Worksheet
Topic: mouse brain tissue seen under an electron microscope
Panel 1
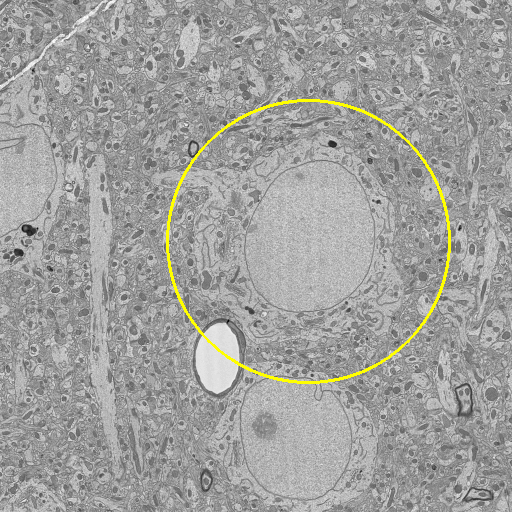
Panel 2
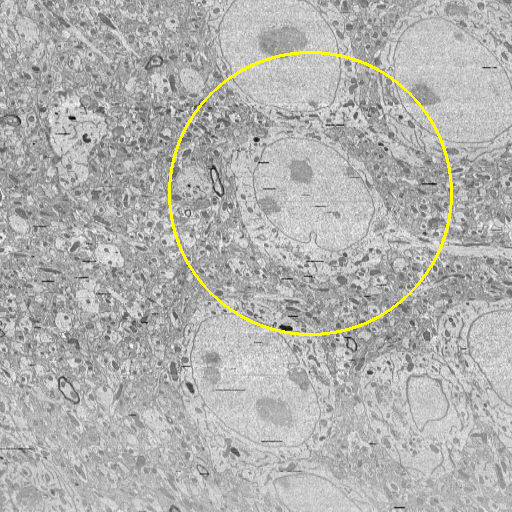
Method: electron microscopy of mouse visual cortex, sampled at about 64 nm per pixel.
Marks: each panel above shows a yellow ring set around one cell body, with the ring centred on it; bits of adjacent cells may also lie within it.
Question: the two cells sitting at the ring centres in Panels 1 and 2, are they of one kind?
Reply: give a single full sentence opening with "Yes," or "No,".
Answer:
Yes, the two ring-centre cells in Panel 1 and Panel 2 are of one kind.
